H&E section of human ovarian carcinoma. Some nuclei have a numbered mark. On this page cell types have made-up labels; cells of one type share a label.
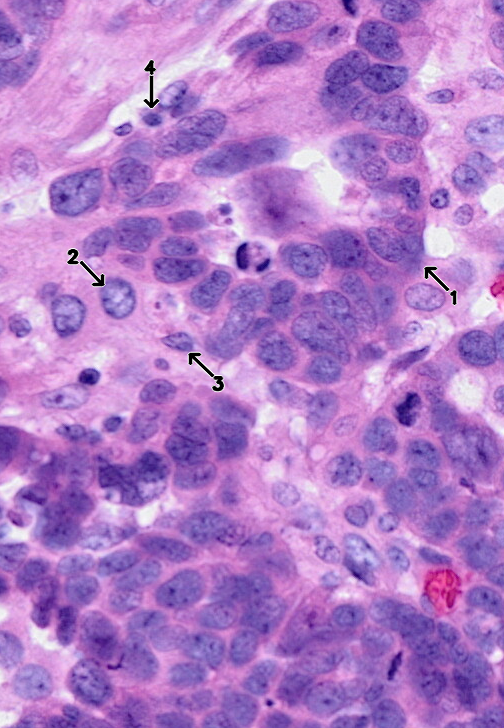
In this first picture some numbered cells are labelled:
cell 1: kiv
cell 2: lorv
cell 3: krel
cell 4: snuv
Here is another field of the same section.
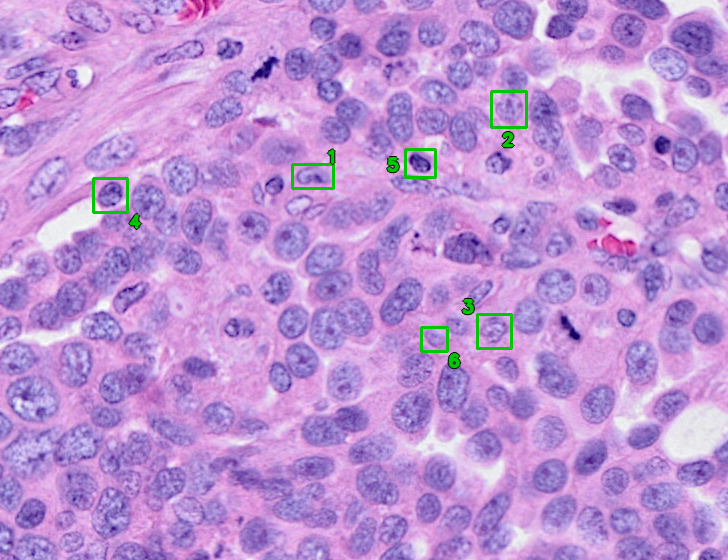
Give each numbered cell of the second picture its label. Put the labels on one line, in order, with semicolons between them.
lorv; kiv; lorv; krel; snuv; lorv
